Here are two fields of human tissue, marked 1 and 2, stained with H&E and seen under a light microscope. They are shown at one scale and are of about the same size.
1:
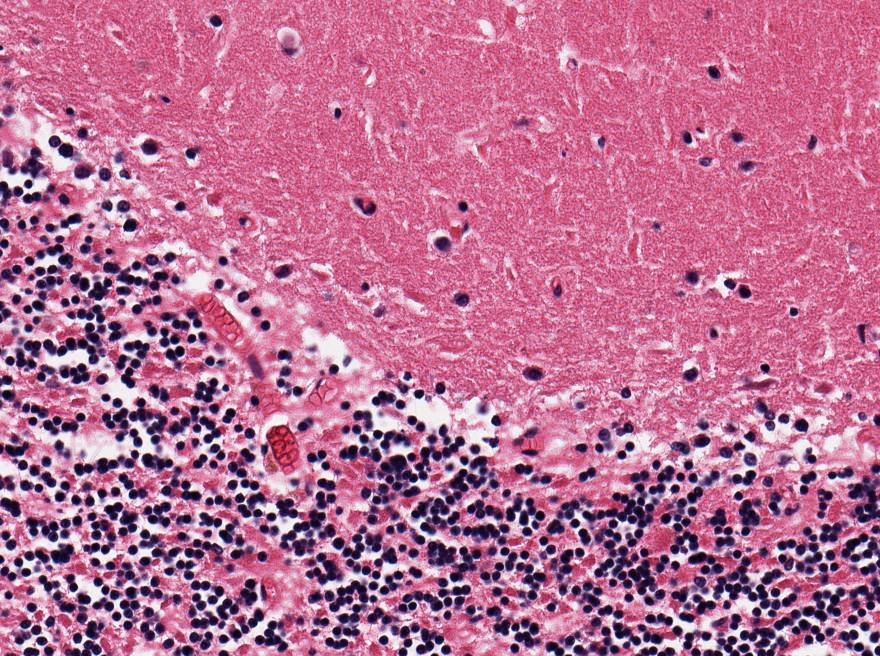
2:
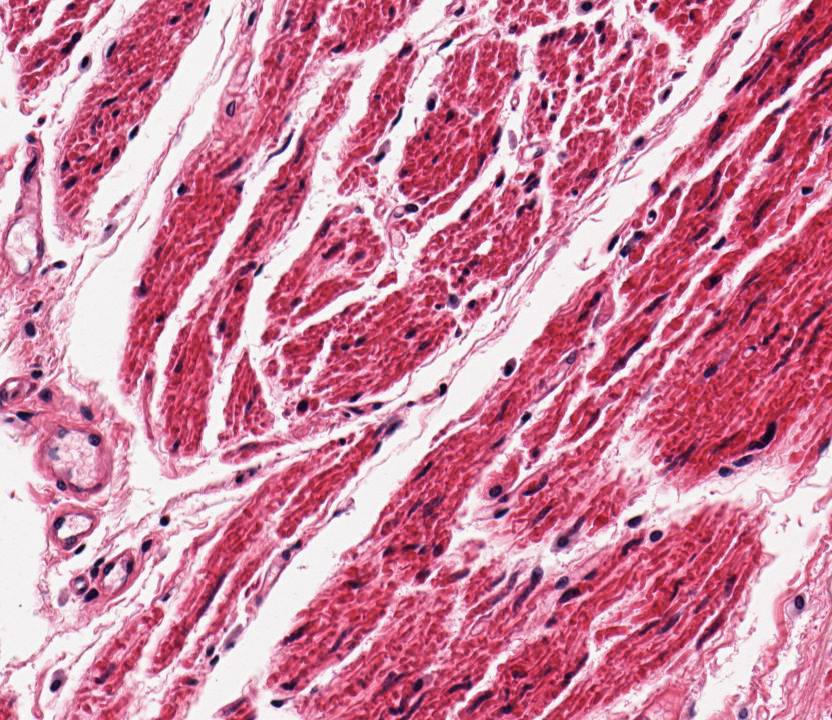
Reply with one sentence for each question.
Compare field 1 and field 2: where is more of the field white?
Field 2 has more white space.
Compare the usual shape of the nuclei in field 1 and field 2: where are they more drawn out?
Longer, more slender nuclei lie in field 2.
